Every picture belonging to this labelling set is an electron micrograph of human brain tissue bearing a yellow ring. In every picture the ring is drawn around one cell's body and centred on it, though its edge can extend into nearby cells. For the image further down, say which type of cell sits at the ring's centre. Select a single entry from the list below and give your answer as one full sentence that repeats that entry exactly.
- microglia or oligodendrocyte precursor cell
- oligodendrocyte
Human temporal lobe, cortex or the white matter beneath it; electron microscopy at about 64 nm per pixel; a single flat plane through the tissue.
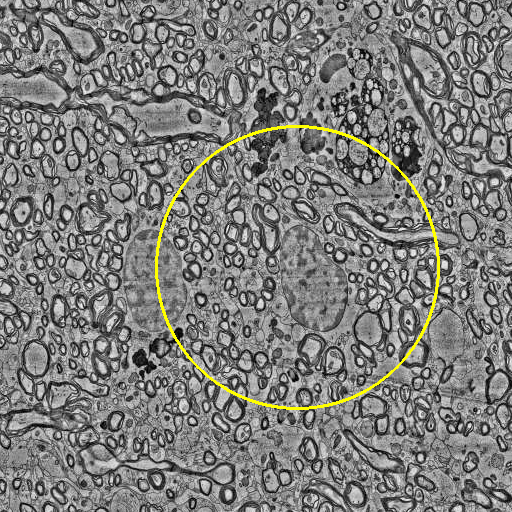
In the picture, a microglial cell or oligodendrocyte precursor cell is the cell at the centre of the yellow ring.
